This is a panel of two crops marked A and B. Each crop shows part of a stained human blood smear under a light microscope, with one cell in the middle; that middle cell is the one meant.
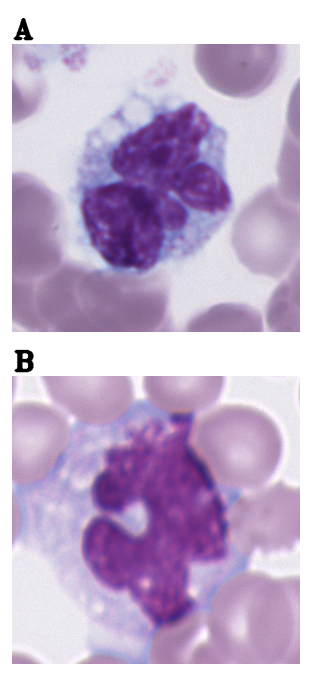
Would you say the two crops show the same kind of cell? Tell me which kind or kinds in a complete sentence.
Yes, both crops show monocytes as their central cells.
